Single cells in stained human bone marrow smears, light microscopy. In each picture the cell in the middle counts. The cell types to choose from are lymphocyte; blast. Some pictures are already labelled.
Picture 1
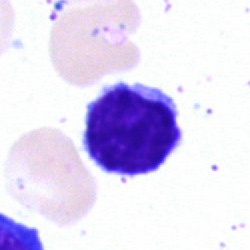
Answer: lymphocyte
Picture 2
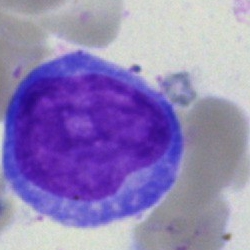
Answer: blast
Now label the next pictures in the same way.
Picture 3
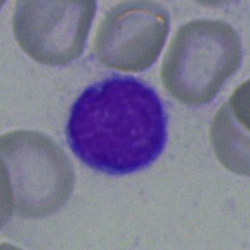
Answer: lymphocyte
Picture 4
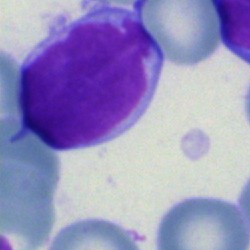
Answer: lymphocyte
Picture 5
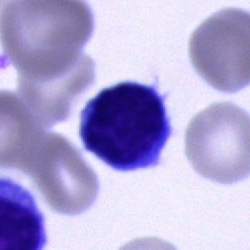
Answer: lymphocyte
